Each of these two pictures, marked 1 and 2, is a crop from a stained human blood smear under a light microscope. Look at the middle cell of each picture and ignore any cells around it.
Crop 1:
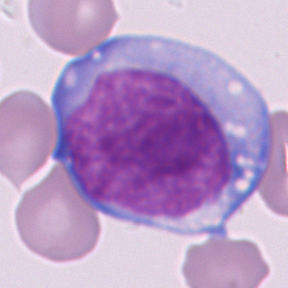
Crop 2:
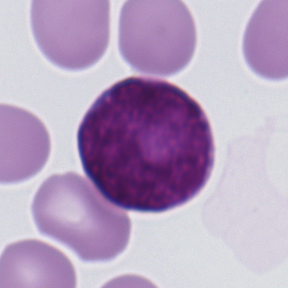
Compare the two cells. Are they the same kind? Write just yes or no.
yes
